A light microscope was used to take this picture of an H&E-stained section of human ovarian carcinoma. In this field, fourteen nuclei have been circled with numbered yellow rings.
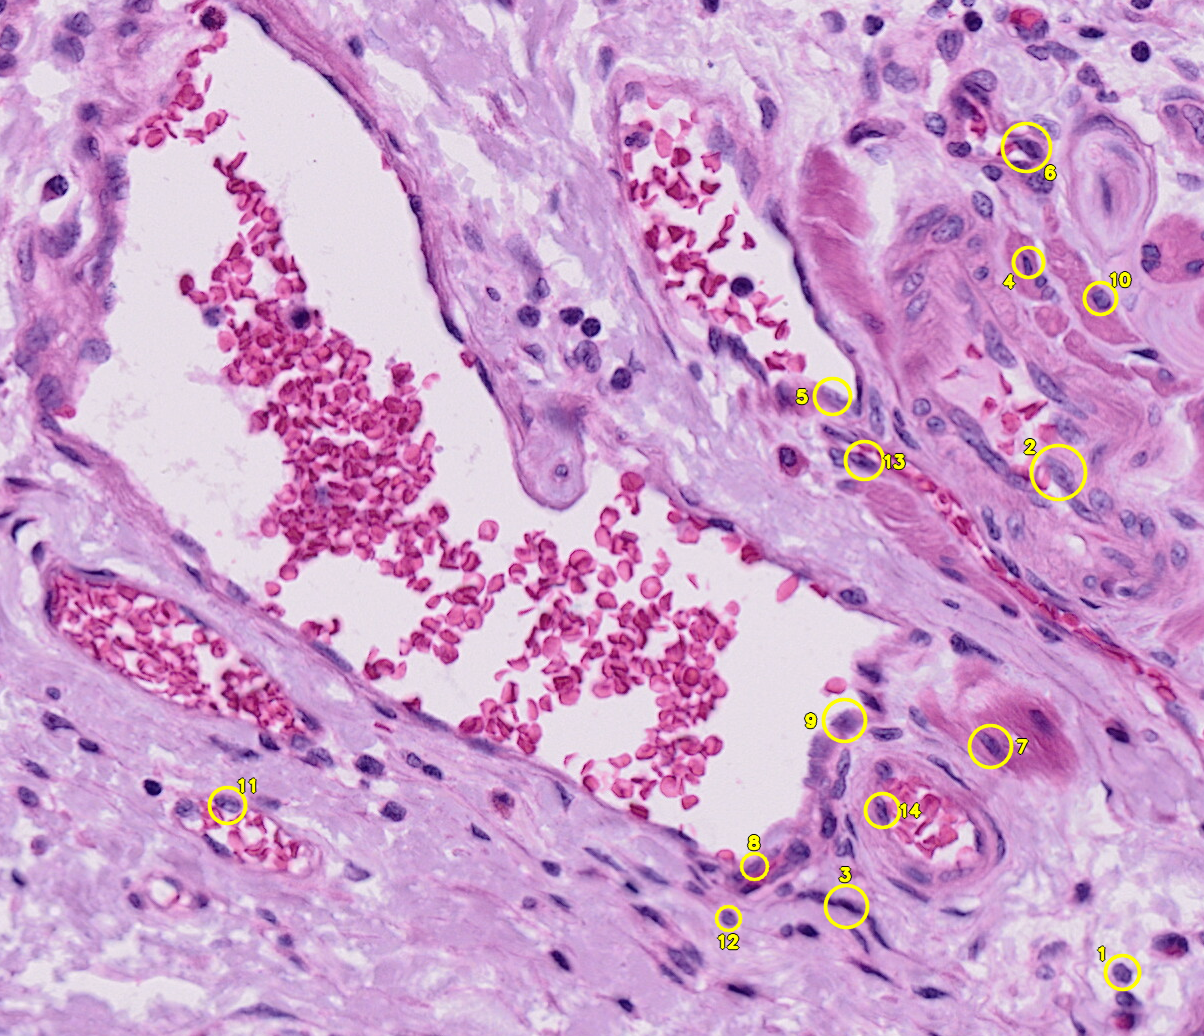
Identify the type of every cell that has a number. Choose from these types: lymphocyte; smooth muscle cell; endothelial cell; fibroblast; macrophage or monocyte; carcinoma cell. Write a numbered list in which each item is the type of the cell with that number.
1. lymphocyte
2. endothelial cell
3. fibroblast
4. smooth muscle cell
5. endothelial cell
6. endothelial cell
7. smooth muscle cell
8. endothelial cell
9. endothelial cell
10. smooth muscle cell
11. endothelial cell
12. lymphocyte
13. endothelial cell
14. endothelial cell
